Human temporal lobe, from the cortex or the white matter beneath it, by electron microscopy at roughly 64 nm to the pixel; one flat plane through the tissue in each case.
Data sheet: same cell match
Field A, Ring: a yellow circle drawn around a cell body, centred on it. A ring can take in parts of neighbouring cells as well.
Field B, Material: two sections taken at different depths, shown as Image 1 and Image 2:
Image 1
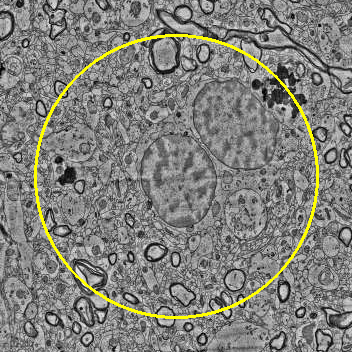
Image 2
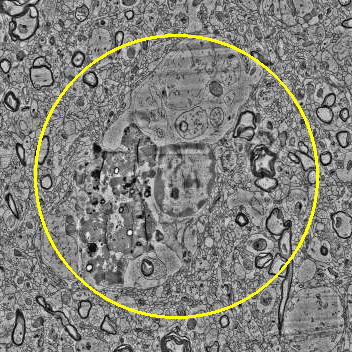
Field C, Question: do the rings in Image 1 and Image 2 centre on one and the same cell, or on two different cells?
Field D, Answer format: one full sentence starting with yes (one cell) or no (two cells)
No, the two yellow rings surround two different cells.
